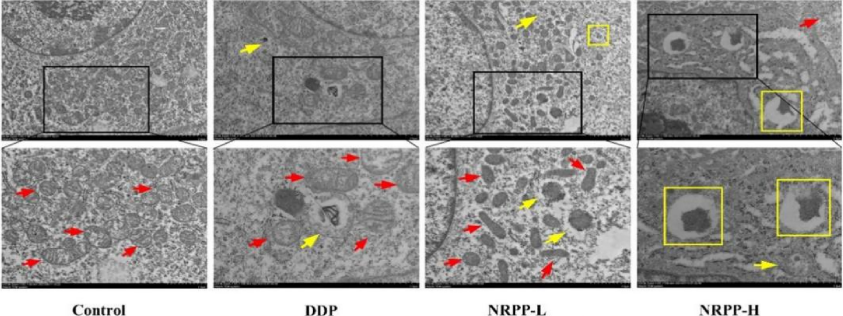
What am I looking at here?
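The cytoplasm is crowded with oval mitochondria, many showing internal folded cristae. In some cells the mitochondria look altered, with dense dark contents or disrupted internal membranes. Small membrane-bound vesicles containing material lie among the organelles. In the rightmost views, large round vacuoles with a pale halo surround a dark, irregular mass of dense material.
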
